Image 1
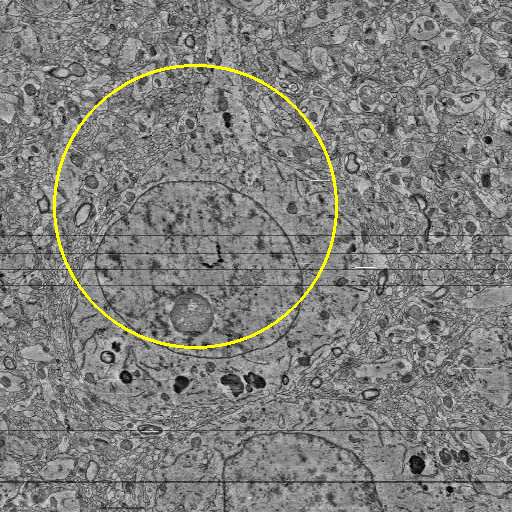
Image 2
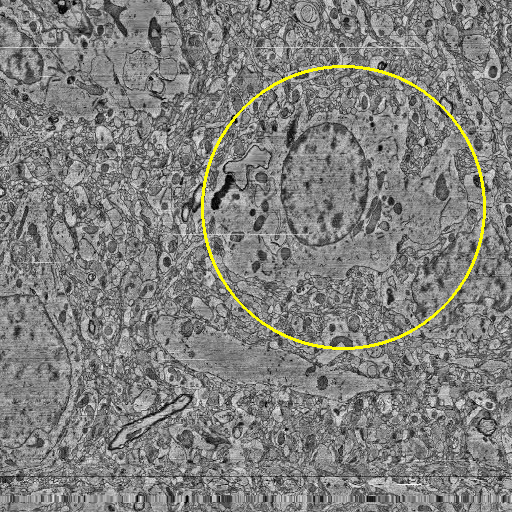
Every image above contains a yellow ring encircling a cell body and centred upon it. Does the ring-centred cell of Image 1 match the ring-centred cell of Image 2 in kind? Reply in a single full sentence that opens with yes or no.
No, the cell at the ring's centre in Image 1 is a separate kind from that in Image 2.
